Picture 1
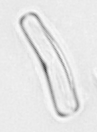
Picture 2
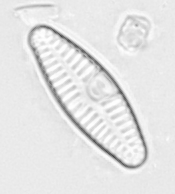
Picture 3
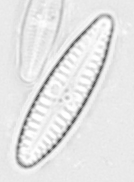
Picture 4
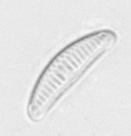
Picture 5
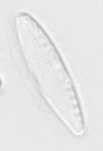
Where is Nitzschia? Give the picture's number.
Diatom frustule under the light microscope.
5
